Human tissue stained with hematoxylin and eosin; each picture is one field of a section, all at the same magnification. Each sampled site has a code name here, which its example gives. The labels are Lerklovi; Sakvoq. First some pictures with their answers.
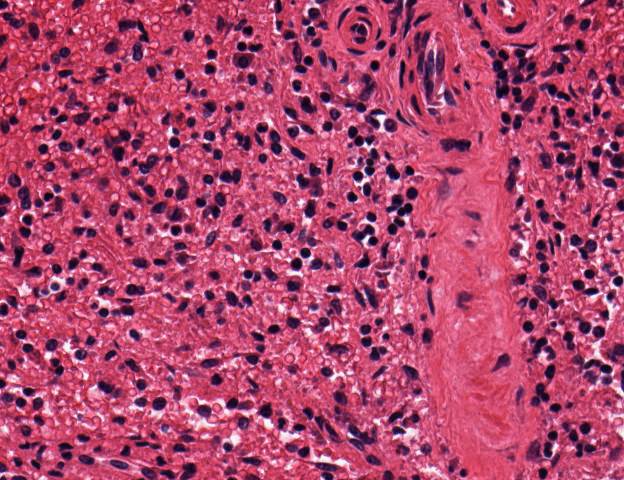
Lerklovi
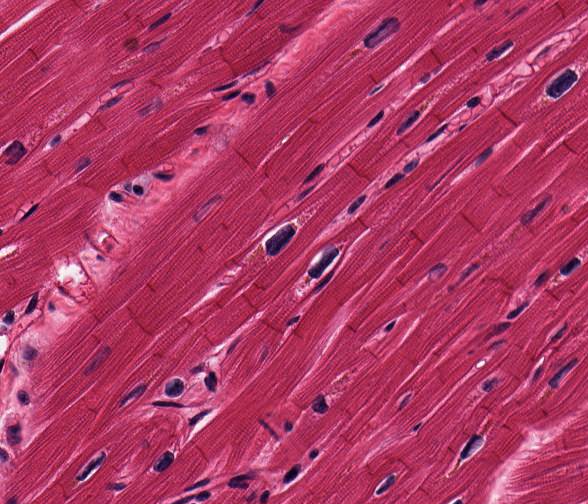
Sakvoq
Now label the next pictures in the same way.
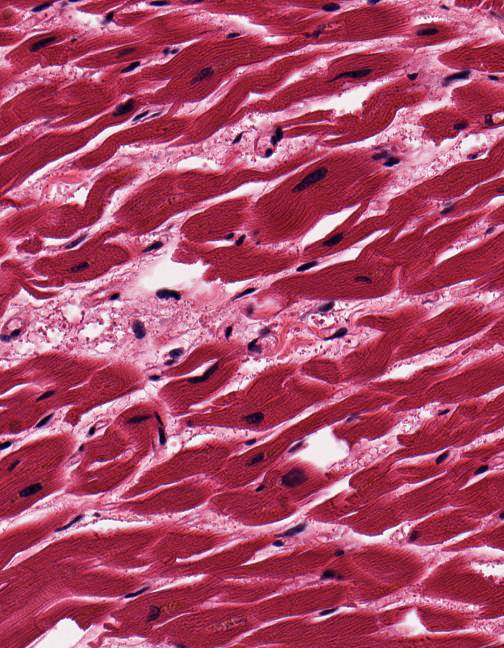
Sakvoq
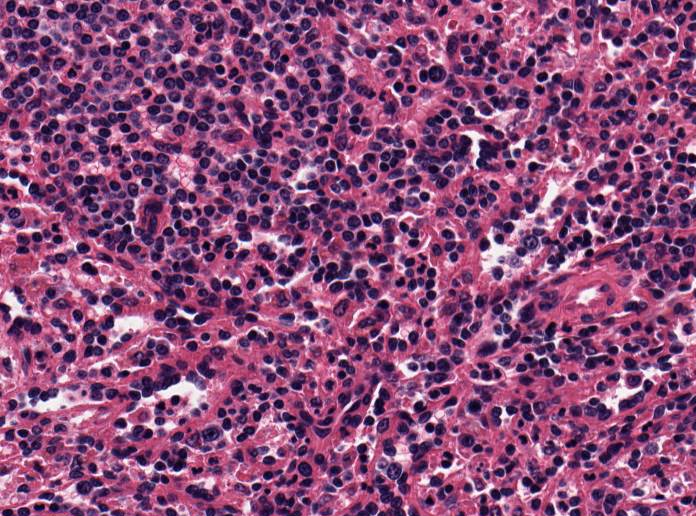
Lerklovi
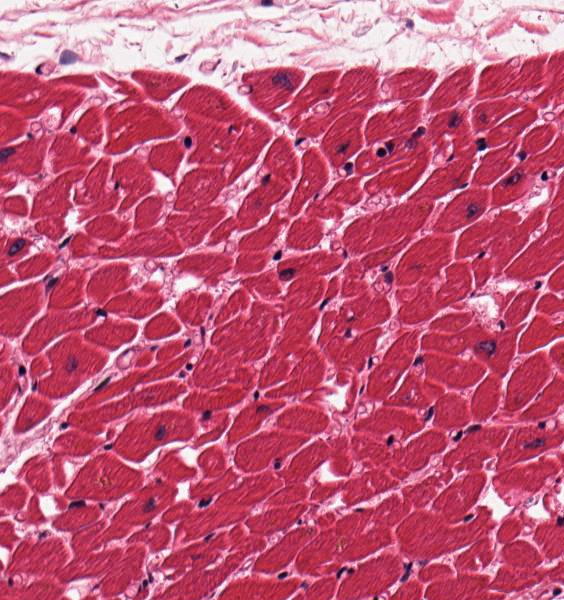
Sakvoq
